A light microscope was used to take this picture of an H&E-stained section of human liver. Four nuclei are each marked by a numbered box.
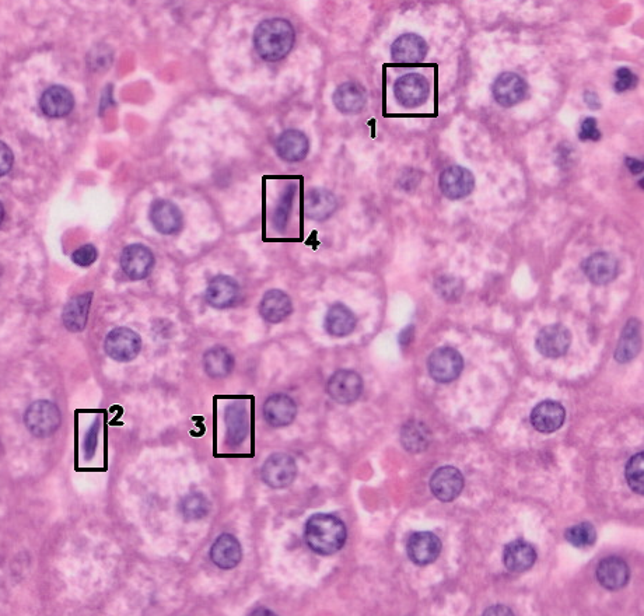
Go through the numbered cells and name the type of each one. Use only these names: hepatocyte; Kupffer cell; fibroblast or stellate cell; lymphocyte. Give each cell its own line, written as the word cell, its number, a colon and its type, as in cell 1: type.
cell 1: hepatocyte
cell 2: lymphocyte
cell 3: Kupffer cell
cell 4: fibroblast or stellate cell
